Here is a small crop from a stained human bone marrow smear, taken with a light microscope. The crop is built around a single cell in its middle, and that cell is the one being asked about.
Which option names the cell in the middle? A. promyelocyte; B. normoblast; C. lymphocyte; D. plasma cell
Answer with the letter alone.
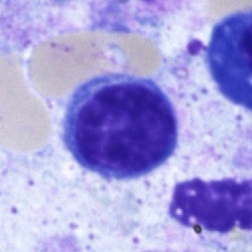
C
